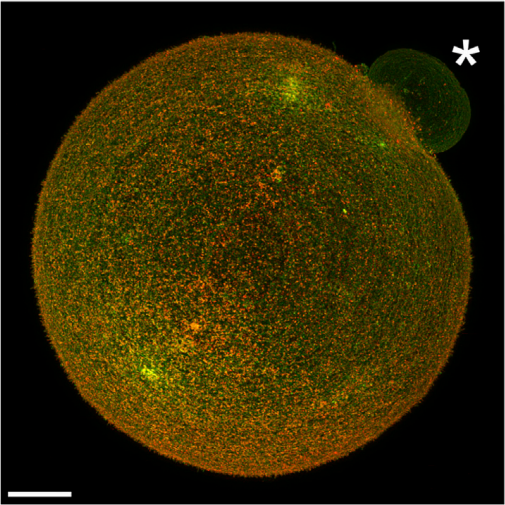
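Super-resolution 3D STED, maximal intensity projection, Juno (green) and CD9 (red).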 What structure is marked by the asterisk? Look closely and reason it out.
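Polar body. A small round body sits at the upper right edge of the large spherical cell. It is far smaller than the large cell and lies against its surface.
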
